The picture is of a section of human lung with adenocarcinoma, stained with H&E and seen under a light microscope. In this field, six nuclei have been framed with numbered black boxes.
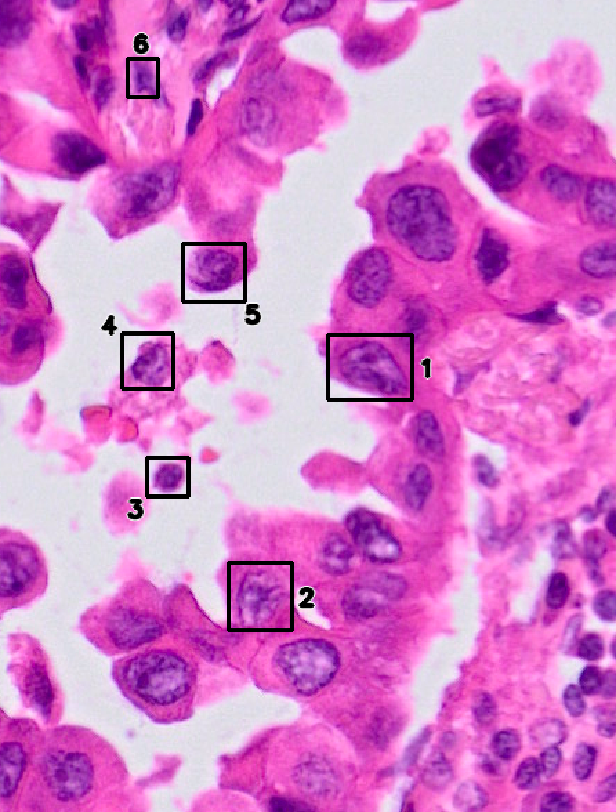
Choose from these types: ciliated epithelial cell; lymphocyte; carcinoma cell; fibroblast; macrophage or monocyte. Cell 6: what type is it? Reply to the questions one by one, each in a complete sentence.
Regarding cell 6, this one is a fibroblast.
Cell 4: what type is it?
The cell that bears the number 4 is a macrophage or monocyte.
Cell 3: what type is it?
The cell pointed out as number 3 is a lymphocyte.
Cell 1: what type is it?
Heads up, the cell numbered 1 is a carcinoma cell.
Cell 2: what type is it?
The cell referenced by the number 2 is a carcinoma cell in this field.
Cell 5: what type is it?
It is as a carcinoma cell that the cell numbered 5 is identified.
